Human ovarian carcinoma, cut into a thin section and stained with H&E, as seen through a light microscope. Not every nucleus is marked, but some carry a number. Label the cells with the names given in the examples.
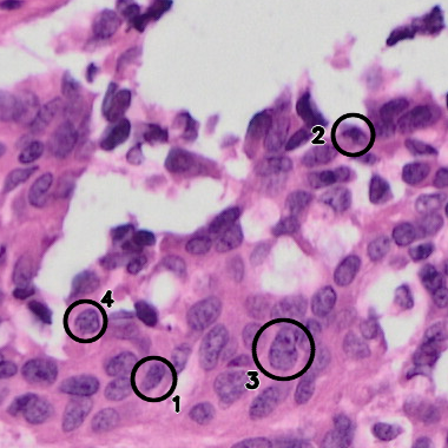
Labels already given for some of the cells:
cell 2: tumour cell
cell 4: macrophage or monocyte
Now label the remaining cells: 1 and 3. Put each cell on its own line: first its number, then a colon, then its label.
1: macrophage or monocyte
3: tumour cell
